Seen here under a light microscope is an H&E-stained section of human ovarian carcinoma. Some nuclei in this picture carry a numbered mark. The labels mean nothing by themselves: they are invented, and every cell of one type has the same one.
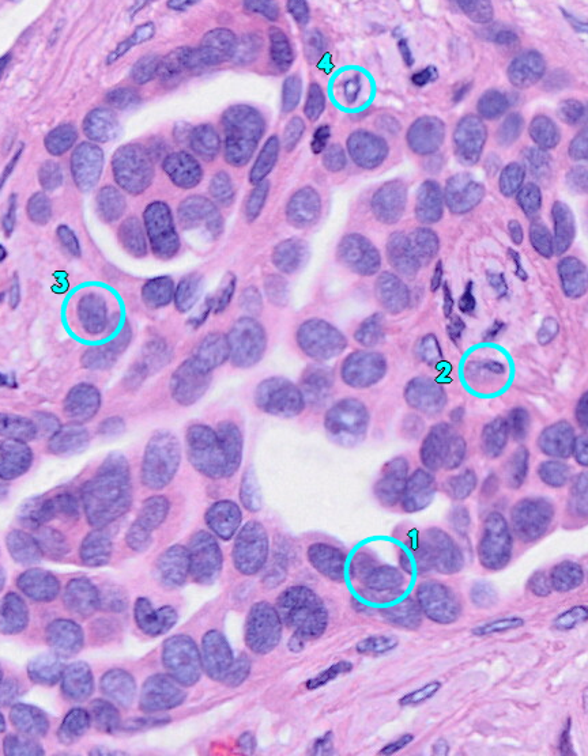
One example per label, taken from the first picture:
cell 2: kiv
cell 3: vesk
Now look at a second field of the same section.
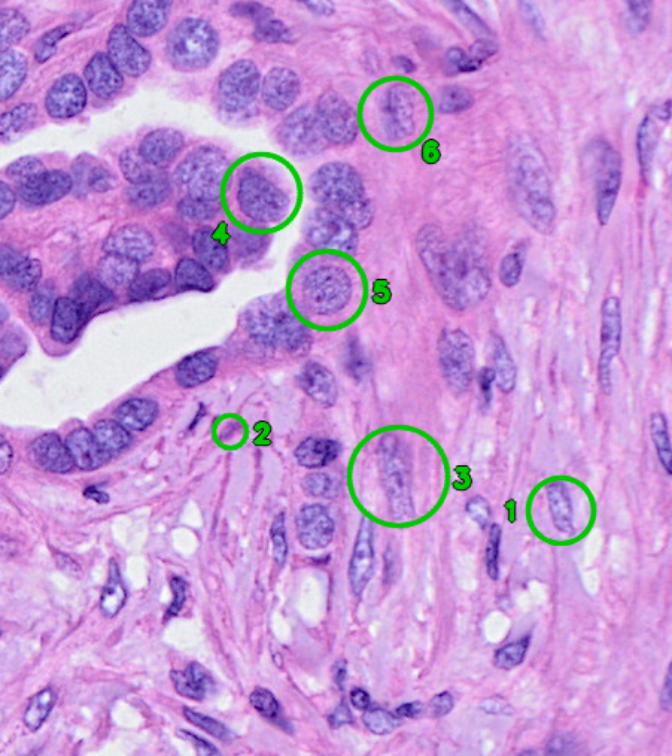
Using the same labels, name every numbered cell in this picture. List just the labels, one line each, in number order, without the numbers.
kiv
kiv
kiv
vesk
vesk
kiv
